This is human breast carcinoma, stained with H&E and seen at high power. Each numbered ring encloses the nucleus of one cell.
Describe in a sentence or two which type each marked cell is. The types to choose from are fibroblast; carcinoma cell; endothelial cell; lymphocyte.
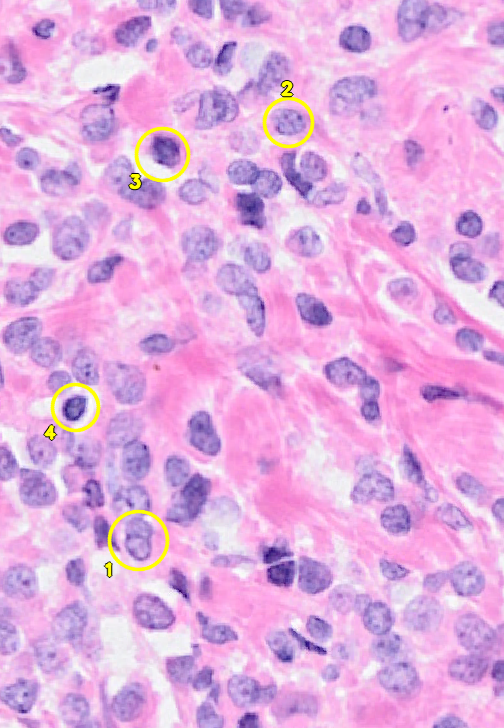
Cells 1, 2 and 3 are carcinoma cells. Cell 4 is a lymphocyte.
